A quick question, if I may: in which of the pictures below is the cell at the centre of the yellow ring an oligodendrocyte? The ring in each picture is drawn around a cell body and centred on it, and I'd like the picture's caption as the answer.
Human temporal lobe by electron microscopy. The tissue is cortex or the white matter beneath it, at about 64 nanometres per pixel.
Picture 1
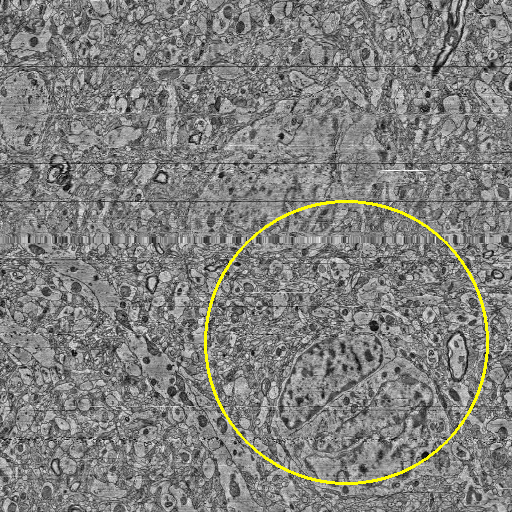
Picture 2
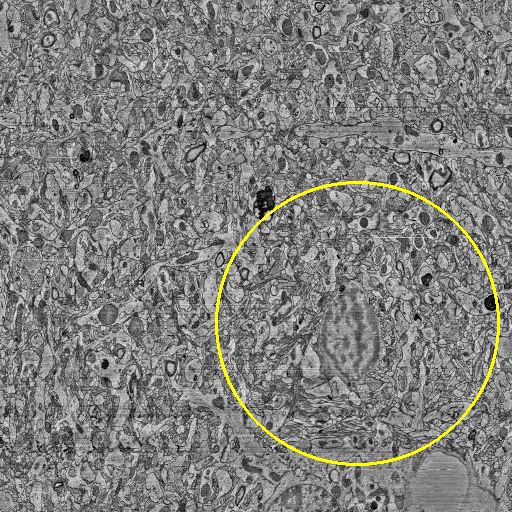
Picture 2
